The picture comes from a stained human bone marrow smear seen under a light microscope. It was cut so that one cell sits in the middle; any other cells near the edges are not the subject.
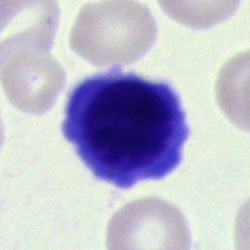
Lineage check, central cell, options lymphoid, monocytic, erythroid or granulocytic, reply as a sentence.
Of erythroid lineage is the cell at the center of the crop.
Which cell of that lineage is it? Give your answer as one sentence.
The identification for the central cell is an erythroblast.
